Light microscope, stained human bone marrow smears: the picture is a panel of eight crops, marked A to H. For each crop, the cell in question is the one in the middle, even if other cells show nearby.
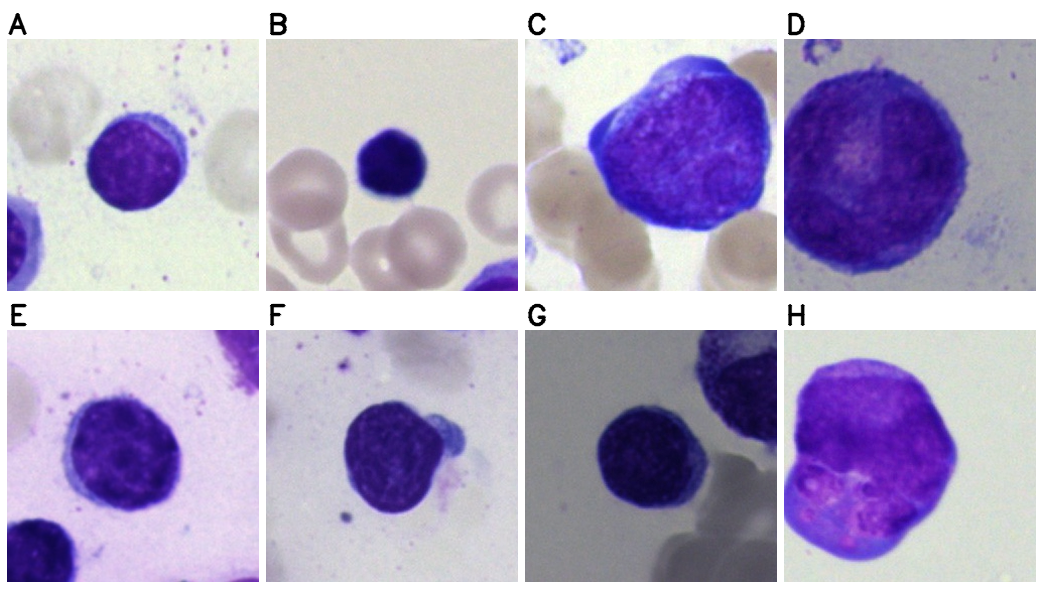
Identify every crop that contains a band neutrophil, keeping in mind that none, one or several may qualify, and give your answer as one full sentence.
Missing from all of the crops is a band neutrophil.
